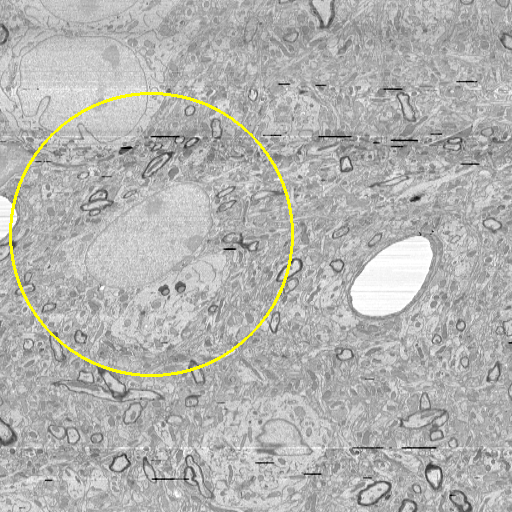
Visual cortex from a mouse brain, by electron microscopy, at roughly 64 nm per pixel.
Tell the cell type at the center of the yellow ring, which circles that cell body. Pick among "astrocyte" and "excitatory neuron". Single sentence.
The ring is centered on the body of an astrocyte.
